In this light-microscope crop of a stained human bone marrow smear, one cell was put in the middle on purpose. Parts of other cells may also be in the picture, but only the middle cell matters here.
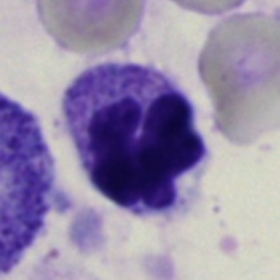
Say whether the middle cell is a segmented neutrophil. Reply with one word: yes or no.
yes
